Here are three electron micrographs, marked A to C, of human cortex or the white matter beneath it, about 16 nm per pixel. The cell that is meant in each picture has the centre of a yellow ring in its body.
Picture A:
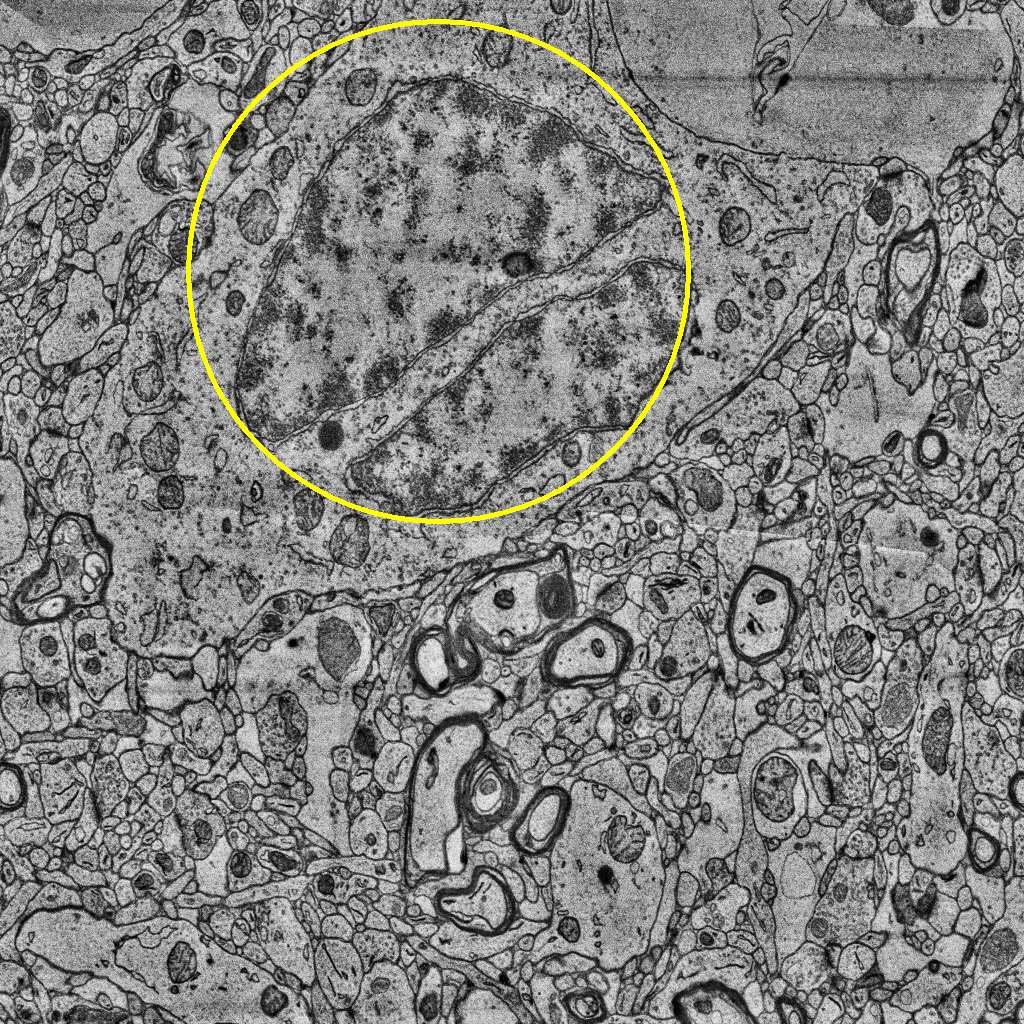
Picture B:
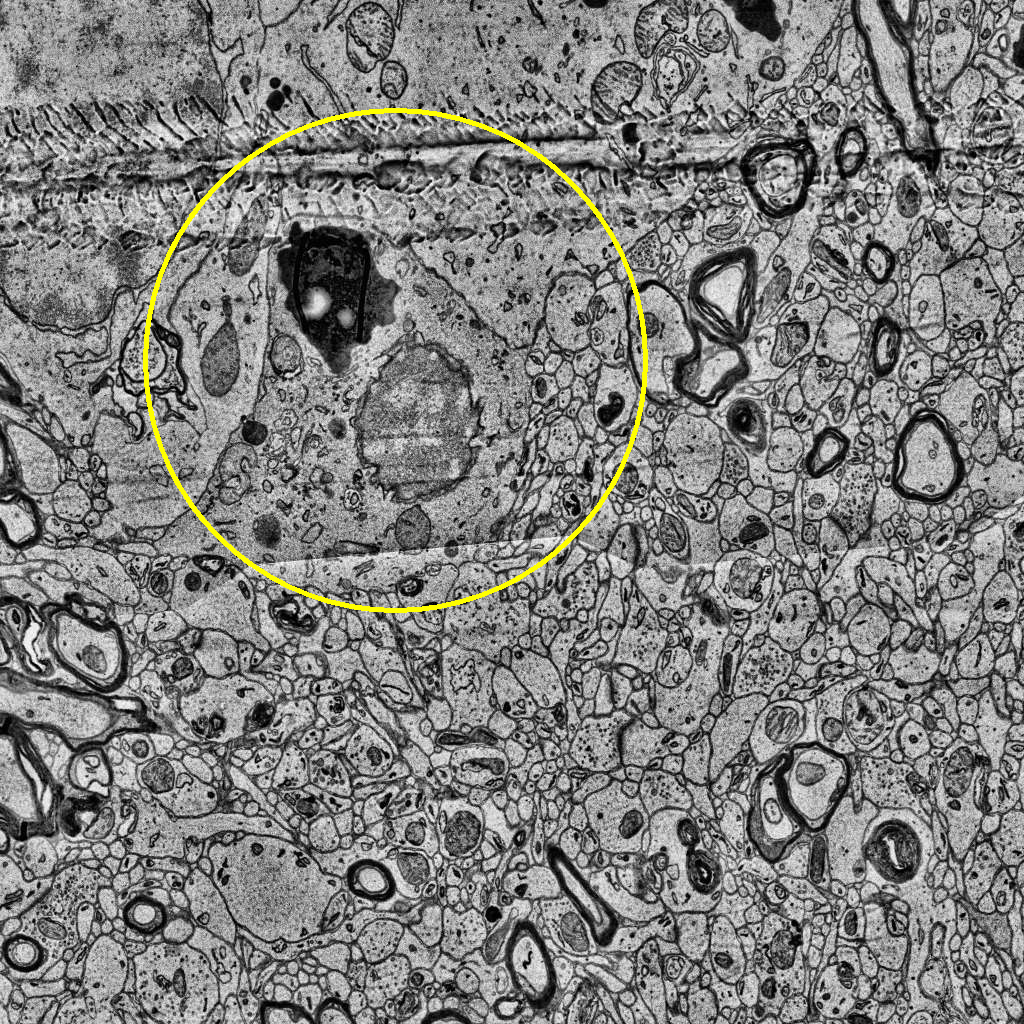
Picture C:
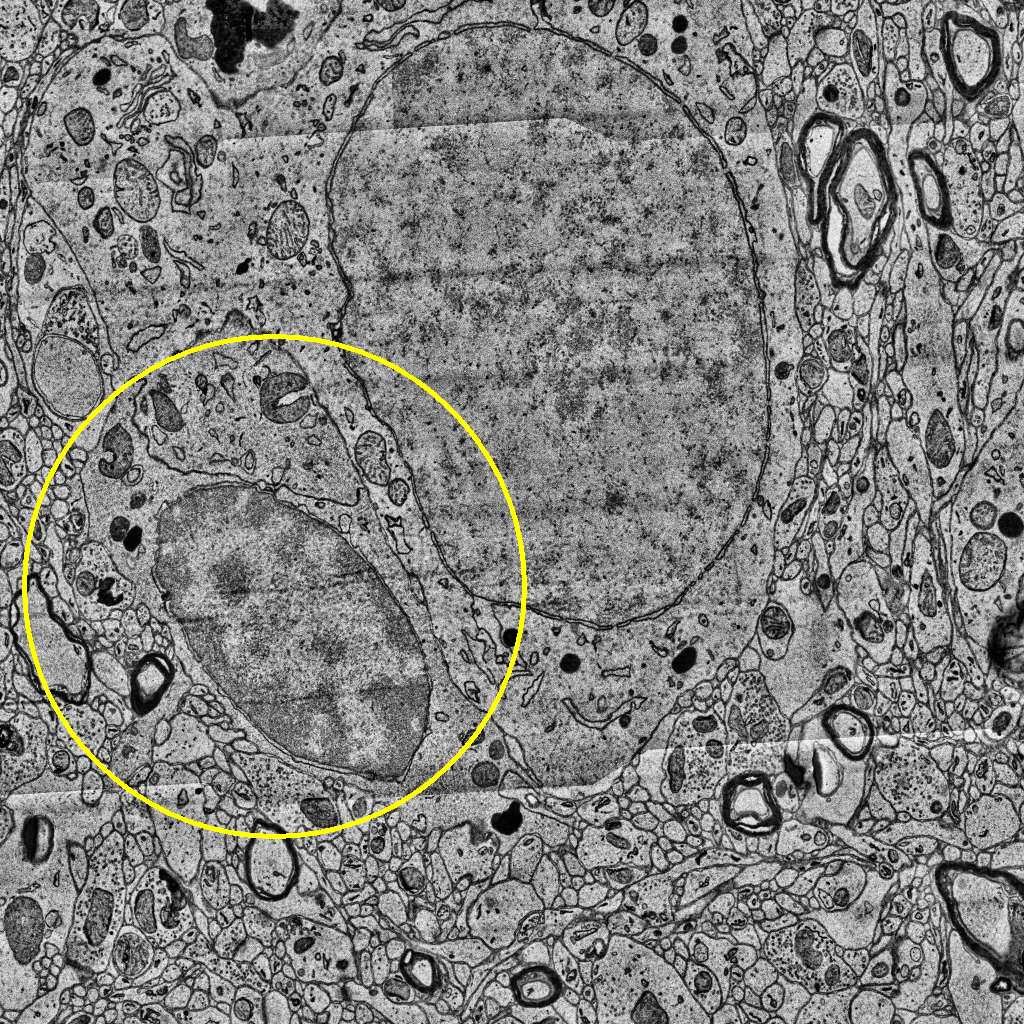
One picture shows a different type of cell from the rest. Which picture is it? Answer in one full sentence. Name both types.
Unlike the rest, which show oligodendrocytes, picture A shows an interneuron.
